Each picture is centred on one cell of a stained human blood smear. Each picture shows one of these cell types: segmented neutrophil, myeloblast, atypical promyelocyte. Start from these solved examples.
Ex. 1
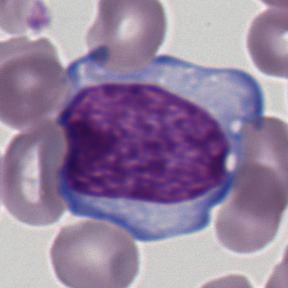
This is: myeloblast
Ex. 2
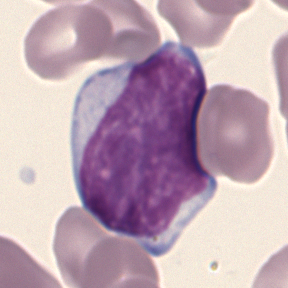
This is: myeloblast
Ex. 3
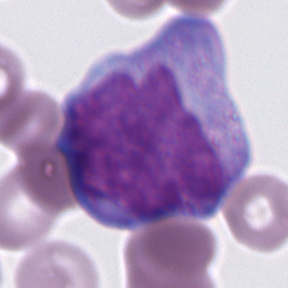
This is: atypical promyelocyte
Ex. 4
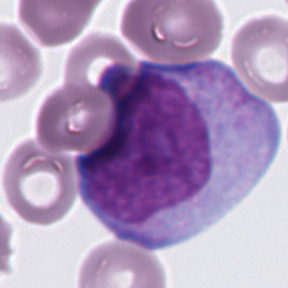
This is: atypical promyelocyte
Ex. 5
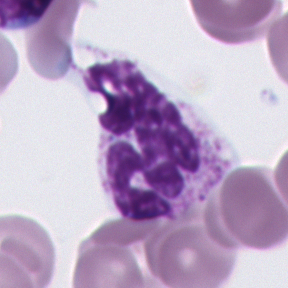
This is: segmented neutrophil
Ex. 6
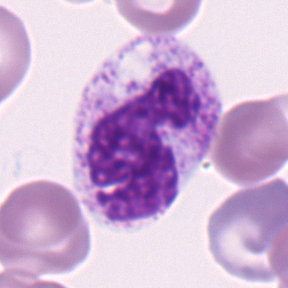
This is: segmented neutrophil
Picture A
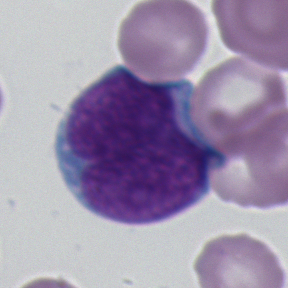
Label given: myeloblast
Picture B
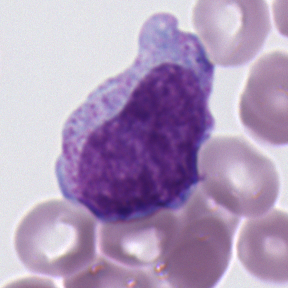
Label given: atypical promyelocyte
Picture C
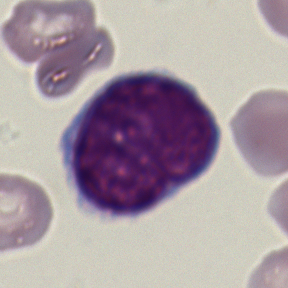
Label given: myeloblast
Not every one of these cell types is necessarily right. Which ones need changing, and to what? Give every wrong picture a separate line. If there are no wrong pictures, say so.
All correct.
